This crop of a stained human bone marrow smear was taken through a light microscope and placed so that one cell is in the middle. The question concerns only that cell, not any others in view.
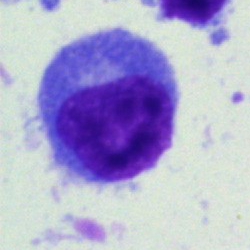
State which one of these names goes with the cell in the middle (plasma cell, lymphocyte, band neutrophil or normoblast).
plasma cell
